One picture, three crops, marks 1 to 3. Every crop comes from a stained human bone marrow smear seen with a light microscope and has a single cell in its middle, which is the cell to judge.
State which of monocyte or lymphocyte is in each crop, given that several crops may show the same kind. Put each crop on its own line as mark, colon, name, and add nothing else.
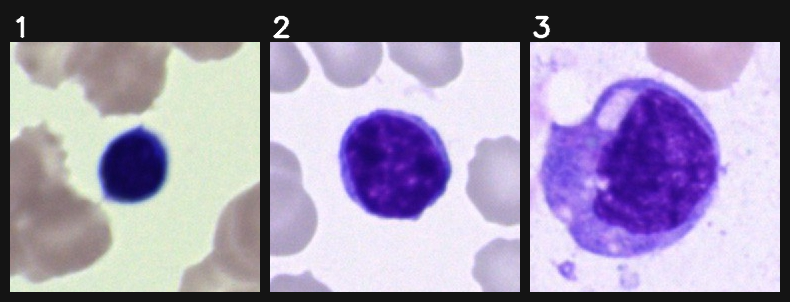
1: lymphocyte
2: lymphocyte
3: monocyte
